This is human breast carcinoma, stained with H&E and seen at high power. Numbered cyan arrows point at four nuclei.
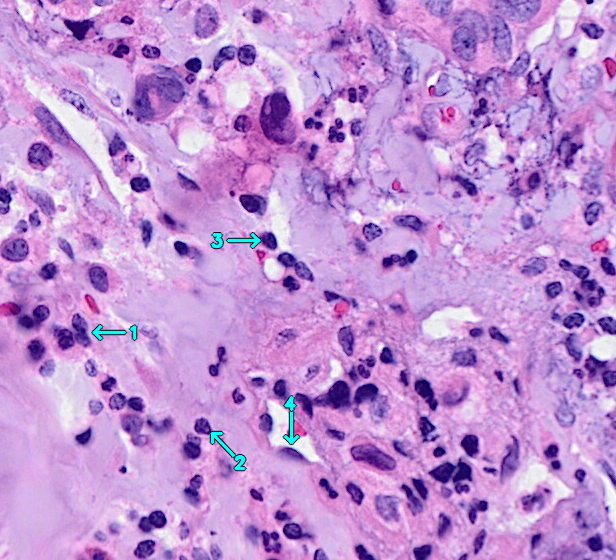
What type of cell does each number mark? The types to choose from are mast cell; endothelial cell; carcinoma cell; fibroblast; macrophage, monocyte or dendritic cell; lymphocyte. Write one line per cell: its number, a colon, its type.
1: lymphocyte
2: lymphocyte
3: lymphocyte
4: endothelial cell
